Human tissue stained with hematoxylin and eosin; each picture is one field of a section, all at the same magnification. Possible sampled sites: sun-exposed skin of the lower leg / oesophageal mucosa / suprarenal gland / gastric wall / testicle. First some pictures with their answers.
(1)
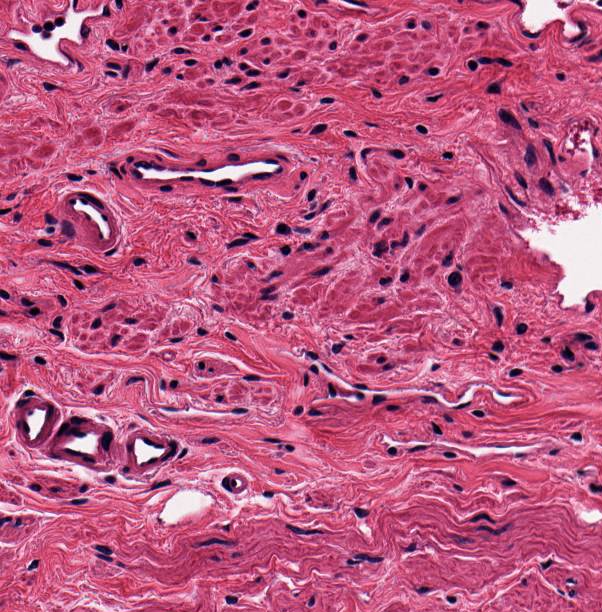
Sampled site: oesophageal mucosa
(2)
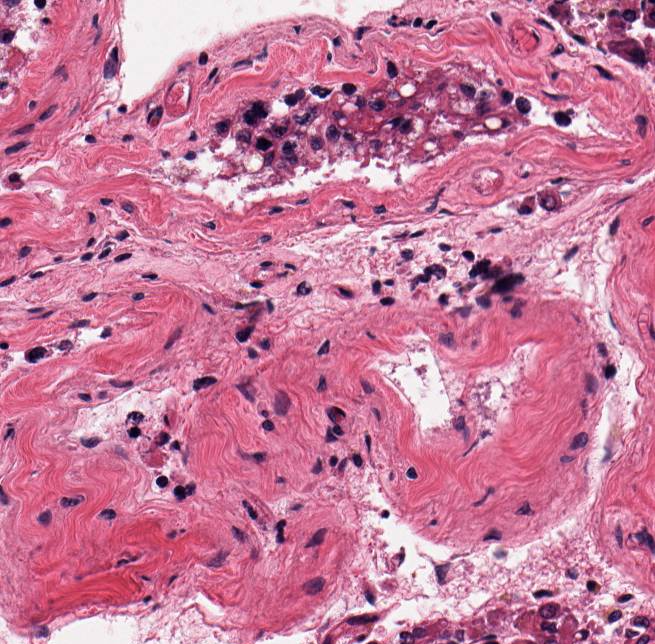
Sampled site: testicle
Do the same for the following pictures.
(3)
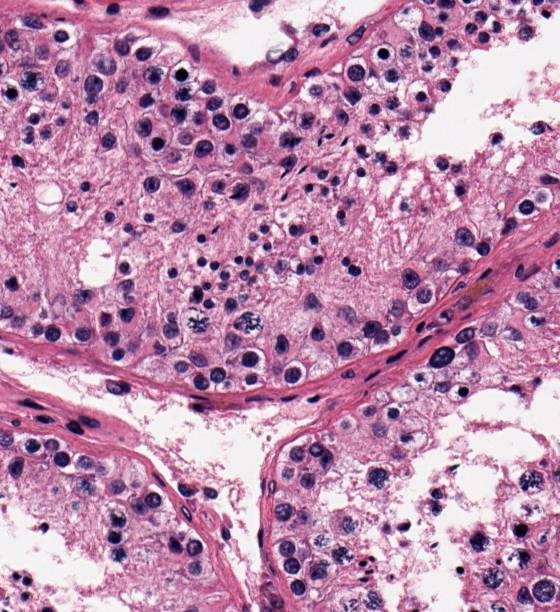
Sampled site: testicle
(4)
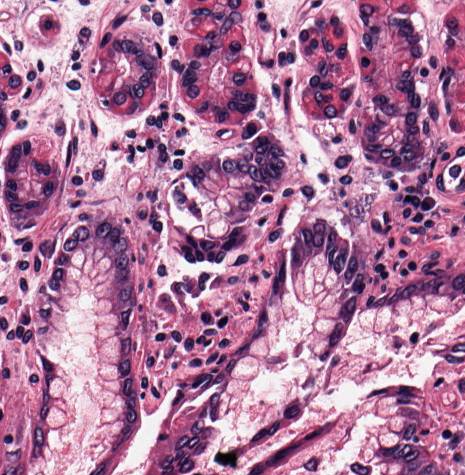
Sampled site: gastric wall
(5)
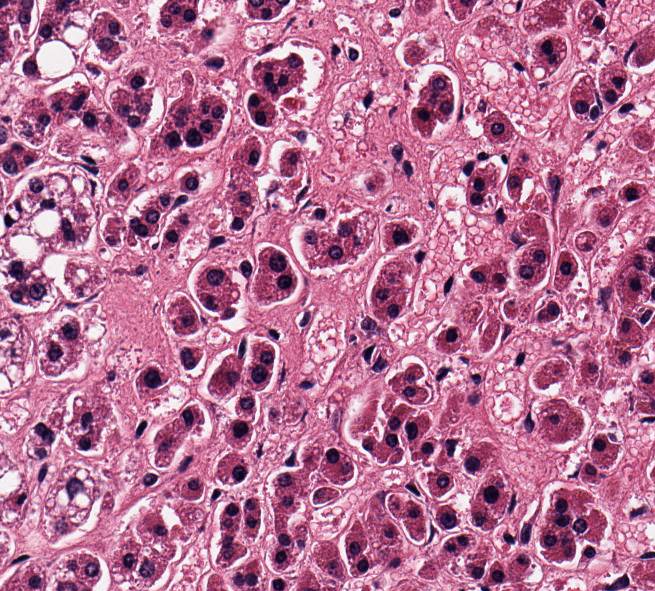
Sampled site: suprarenal gland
